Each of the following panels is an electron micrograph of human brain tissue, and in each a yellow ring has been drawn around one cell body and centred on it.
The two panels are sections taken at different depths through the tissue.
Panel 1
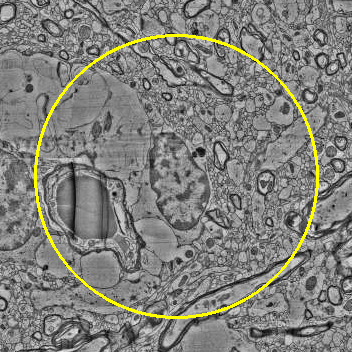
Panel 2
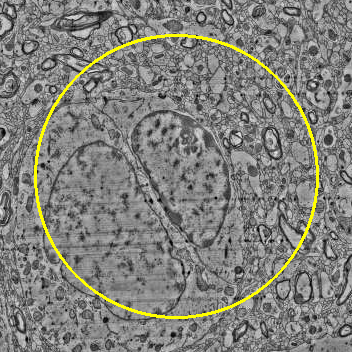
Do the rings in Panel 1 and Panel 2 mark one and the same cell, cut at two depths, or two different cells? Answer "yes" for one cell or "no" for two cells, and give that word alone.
no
